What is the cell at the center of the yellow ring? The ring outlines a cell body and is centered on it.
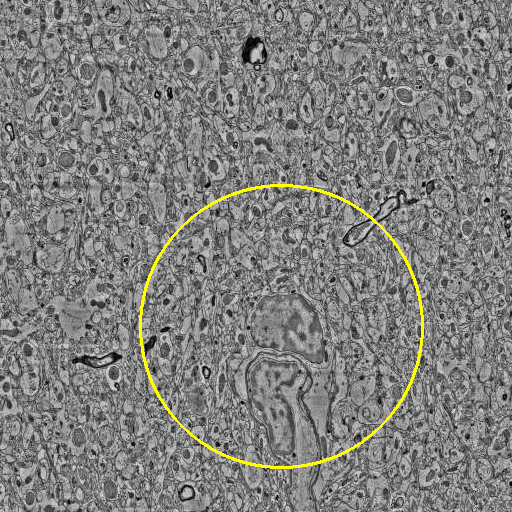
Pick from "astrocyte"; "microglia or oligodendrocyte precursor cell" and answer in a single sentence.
The yellow ring is centered on a microglial cell or oligodendrocyte precursor cell.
